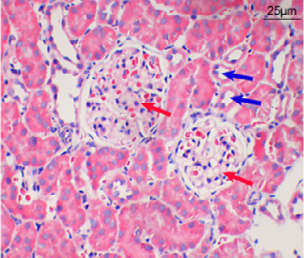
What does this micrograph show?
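Two rounded cellular tufts, each enclosed by a thin capsule with a clear space inside it, lie side by side among pink tubular profiles. The tufts contain many small blue nuclei and a loose meshwork of pale pink material. The surrounding tubules are lined by pink epithelial cells with round blue nuclei around narrow or slit-like lumens. These are glomeruli in renal cortex surrounded by renal tubules.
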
